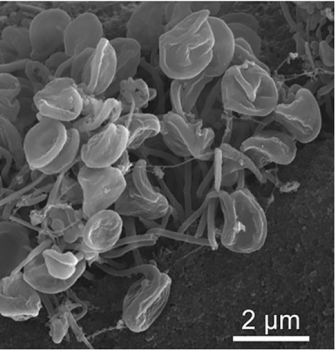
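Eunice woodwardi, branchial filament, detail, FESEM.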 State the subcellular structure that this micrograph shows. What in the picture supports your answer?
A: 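Discocilia. Many slender rod-like projections rise from a flat surface. Most projections end in a flattened, rounded disc-like swelling. The disc-tipped projections are clustered together in a tuft.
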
